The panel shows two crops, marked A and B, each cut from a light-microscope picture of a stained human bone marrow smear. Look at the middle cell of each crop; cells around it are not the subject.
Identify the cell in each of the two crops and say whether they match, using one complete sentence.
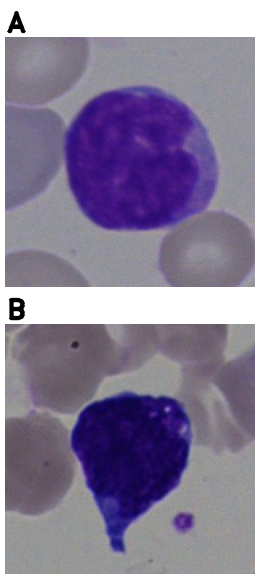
Yes, they do, both crops show blasts.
